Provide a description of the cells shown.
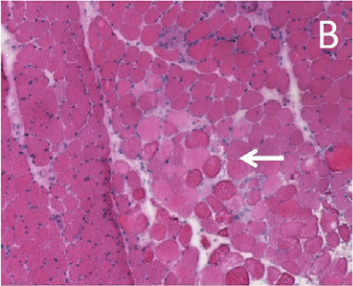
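Here skeletal muscle is seen in cross-section with pink polygonal myofibers and peripheral dark nuclei, separated by pale connective tissue spaces. In one region, indicated by an arrow, a group of neighbouring fibers looks different from the rest: they are paler or unevenly stained and lose the crisp outline of healthy fibers, and they lie together as a patch rather than singly.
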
